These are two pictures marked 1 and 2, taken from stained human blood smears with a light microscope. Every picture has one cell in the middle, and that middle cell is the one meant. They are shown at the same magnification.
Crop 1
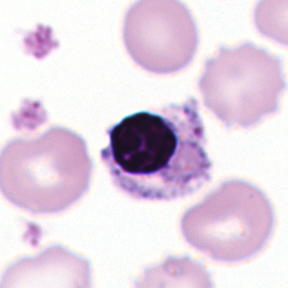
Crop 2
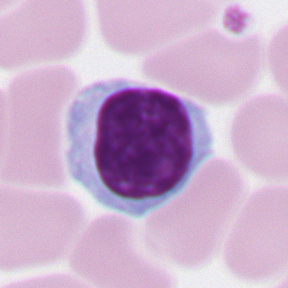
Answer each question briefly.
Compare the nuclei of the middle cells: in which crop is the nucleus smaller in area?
1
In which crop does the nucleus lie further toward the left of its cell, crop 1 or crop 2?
1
